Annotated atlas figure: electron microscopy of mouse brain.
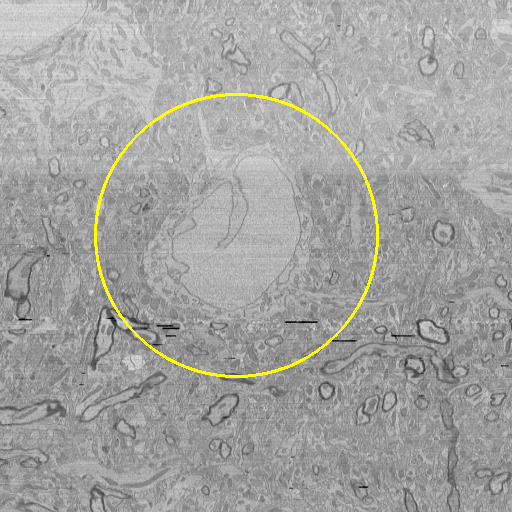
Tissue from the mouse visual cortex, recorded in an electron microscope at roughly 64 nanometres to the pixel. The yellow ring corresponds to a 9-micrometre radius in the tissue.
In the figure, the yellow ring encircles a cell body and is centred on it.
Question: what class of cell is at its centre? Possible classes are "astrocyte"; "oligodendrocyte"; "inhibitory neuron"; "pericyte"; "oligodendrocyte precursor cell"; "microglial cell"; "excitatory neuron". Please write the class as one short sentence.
The yellow ring is drawn around an excitatory neuron.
